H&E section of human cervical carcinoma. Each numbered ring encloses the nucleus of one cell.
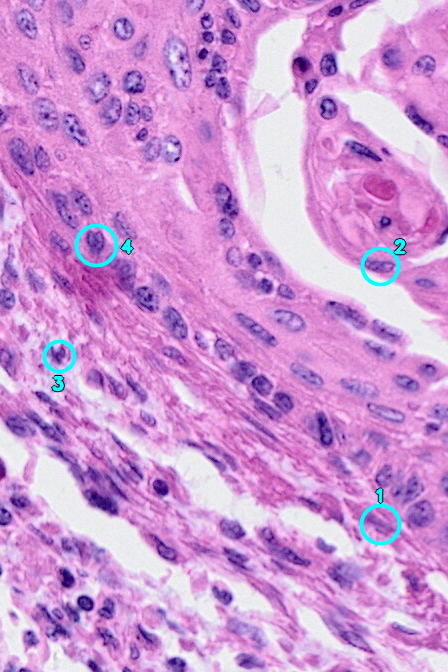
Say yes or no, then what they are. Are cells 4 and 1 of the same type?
No, the cell at number 4 is a squamous carcinoma cell, and the cell at number 1 is a fibroblast.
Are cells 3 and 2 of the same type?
No, rather, cell 3 is a fibroblast and cell 2 is a squamous carcinoma cell.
